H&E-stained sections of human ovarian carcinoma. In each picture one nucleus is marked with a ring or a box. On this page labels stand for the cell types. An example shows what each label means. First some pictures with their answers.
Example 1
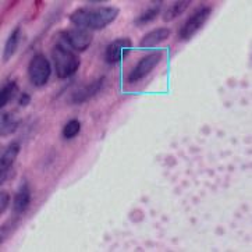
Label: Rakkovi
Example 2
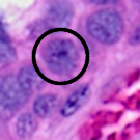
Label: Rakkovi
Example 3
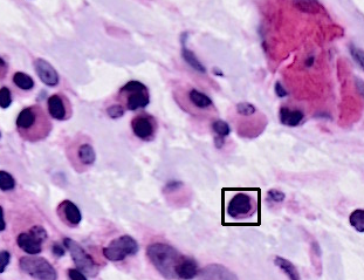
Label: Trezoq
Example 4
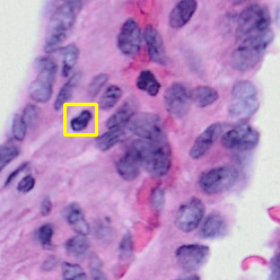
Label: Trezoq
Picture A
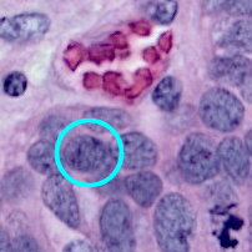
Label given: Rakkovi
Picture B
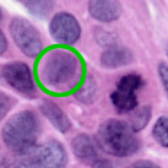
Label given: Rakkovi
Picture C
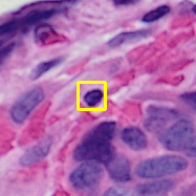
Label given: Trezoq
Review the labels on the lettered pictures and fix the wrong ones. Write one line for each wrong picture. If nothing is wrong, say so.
Every label is right.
